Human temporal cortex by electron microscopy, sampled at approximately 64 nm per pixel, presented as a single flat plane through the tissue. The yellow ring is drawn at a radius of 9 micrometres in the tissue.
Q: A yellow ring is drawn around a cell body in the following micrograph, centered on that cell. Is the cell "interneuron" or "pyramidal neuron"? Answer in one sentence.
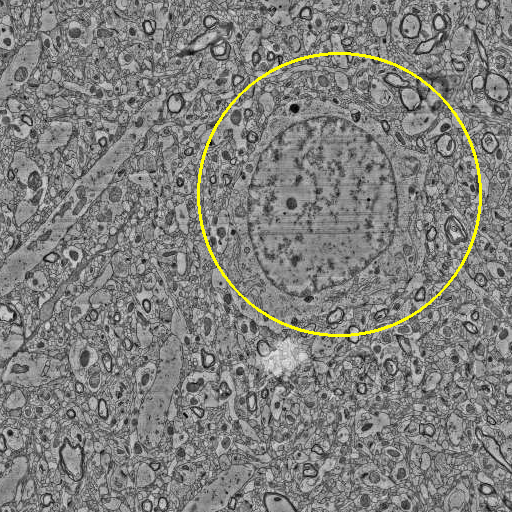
The cell in the center of the ring is an interneuron.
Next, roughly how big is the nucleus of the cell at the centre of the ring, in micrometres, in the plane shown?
The nucleus is approximately 12 micrometers long by 10 micrometers wide in this plane.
